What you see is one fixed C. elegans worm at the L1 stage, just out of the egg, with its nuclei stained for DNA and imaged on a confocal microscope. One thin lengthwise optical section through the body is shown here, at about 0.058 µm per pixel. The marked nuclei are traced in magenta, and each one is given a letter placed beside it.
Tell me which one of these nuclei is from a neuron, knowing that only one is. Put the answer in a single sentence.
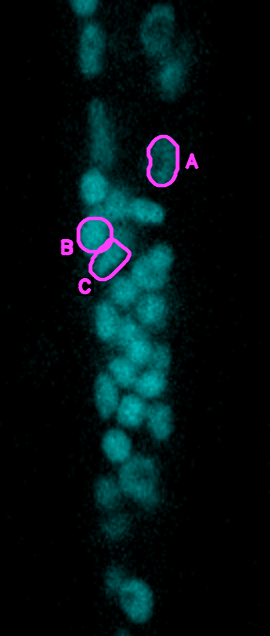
B is the one that belongs to a neuron.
